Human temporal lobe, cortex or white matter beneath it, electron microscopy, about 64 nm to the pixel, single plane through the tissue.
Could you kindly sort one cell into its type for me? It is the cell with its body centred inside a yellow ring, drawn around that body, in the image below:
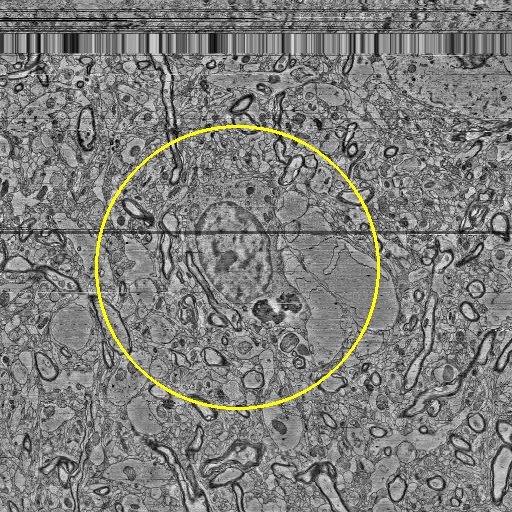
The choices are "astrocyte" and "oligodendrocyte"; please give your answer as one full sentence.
The cell whose body lies centred in the yellow ring here is an oligodendrocyte.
